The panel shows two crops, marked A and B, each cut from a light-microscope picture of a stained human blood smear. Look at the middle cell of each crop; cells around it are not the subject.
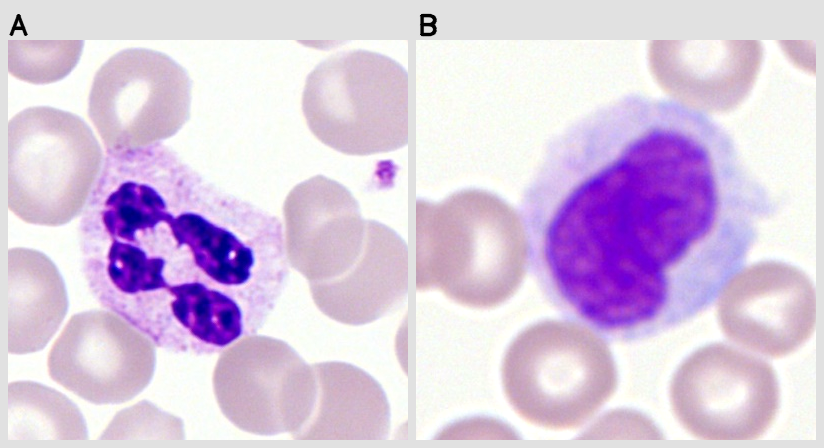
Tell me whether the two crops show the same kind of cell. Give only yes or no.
no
